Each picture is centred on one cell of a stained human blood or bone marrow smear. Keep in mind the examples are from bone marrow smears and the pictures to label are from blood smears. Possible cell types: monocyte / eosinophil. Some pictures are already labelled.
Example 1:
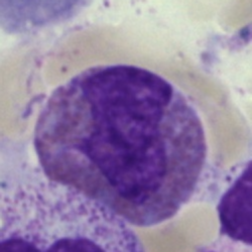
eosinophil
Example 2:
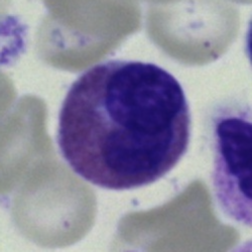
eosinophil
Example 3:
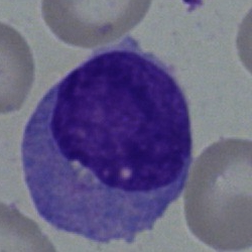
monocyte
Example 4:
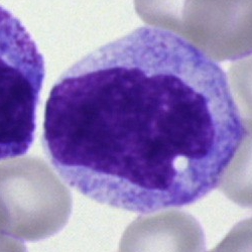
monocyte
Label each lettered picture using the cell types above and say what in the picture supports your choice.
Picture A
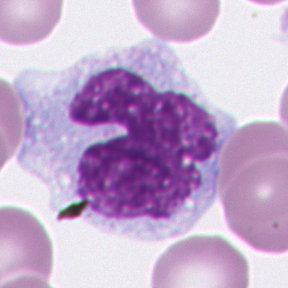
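Label: monocyte. The cytoplasm holds only fine, faint lilac dust-like granules.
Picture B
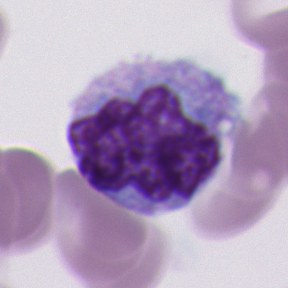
Label: monocyte. Fine lilac granules are scattered through the cytoplasm.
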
